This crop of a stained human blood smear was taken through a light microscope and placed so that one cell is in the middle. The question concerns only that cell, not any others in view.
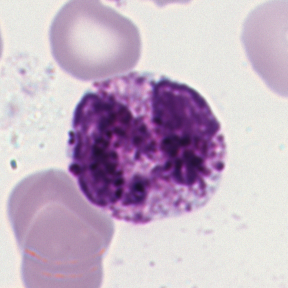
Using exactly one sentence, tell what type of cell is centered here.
The cell in the middle of the field of view is a basophil.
